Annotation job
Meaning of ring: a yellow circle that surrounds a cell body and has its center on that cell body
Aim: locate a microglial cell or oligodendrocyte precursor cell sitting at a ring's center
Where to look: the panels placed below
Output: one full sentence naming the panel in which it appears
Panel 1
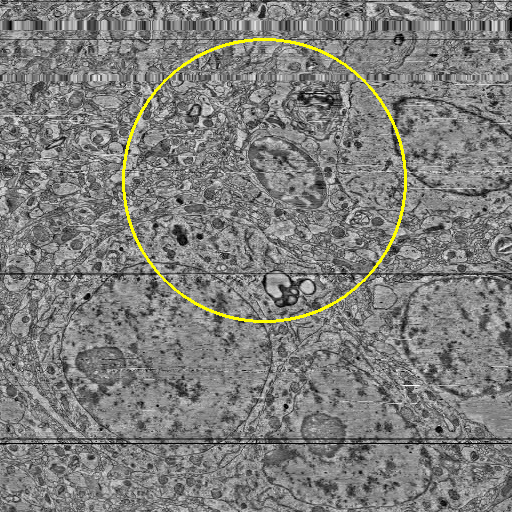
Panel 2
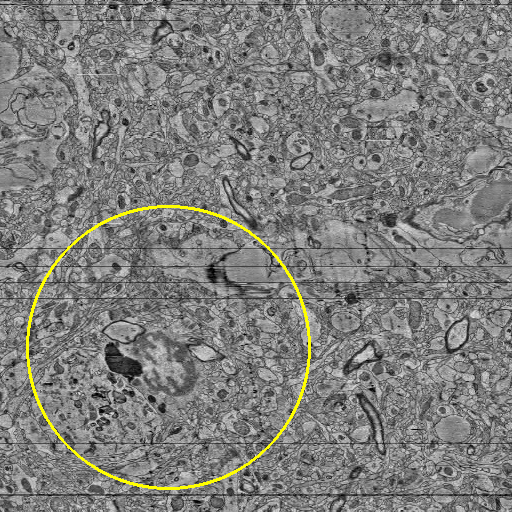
The cell at the center of the ring in panel 1 is the one sought.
